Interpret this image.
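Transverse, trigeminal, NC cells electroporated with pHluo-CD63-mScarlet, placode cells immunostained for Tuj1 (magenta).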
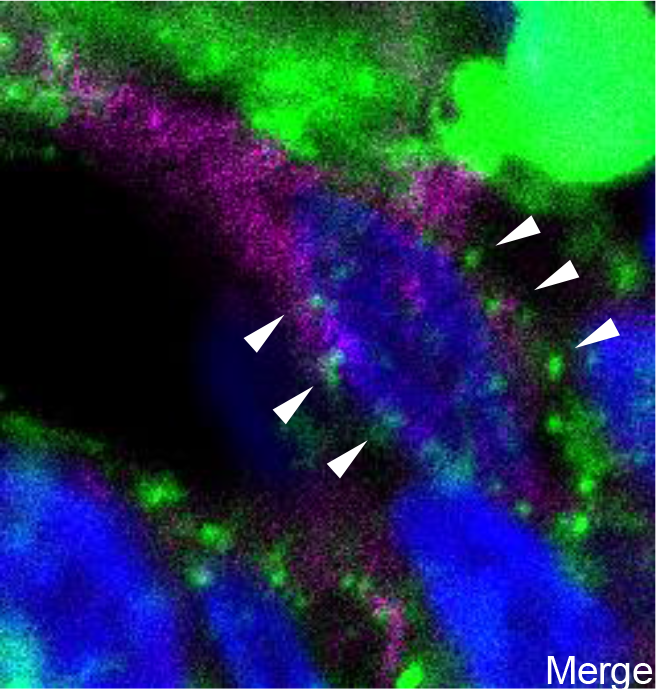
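Elongated cells with oval blue nuclei lie side by side in the ganglion section. One cell has a magenta-stained cytoplasm running obliquely around its nucleus. Small round green puncta lie within and along this magenta cytoplasm, marked by white arrowheads. Further green puncta and green-outlined cell borders lie in the neighbouring cells, and a large bright green mass sits in the upper right corner.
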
